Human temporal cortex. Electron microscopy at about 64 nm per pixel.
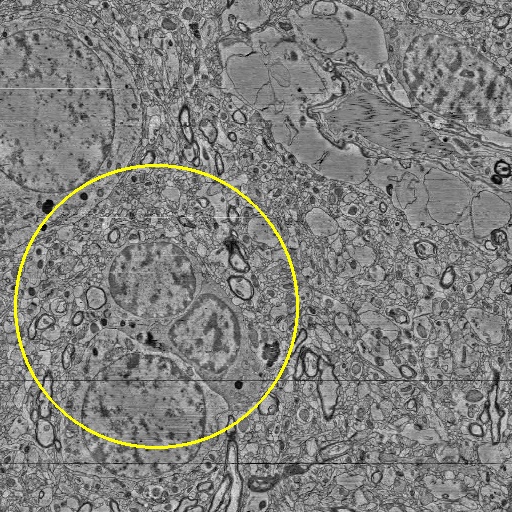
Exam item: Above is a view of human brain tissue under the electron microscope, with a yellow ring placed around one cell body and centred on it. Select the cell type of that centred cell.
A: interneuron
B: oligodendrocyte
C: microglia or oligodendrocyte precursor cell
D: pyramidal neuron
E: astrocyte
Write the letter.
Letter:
B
